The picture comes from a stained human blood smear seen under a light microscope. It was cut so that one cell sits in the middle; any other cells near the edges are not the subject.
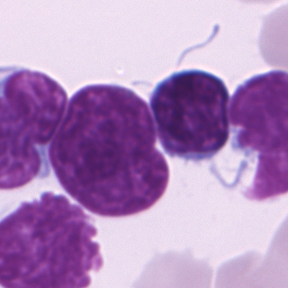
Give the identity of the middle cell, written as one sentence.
What the crop centres on is a myeloblast.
